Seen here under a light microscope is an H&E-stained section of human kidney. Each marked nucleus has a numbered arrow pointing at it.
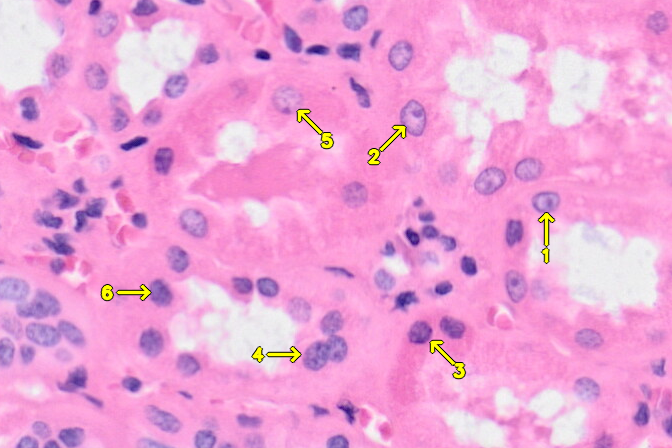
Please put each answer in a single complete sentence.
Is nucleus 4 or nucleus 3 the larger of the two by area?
At about 1.5 times the area of nucleus 3, nucleus 4 is the larger of the two.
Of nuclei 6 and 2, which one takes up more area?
Nucleus 2 is larger, with an area about 1.5 times that of nucleus 6.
